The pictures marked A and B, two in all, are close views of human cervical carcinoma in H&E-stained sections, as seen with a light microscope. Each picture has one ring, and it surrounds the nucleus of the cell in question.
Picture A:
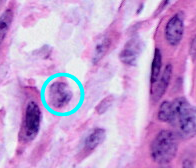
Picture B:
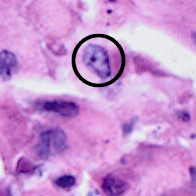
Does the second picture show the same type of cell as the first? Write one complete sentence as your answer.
Yes, both cells are “macrophages or monocytes”.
